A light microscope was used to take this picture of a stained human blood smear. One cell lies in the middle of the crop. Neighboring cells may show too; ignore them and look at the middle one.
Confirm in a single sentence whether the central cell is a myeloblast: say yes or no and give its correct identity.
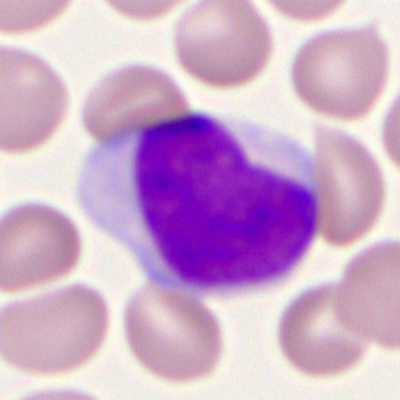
Yes, the crop is centred on a myeloblast.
